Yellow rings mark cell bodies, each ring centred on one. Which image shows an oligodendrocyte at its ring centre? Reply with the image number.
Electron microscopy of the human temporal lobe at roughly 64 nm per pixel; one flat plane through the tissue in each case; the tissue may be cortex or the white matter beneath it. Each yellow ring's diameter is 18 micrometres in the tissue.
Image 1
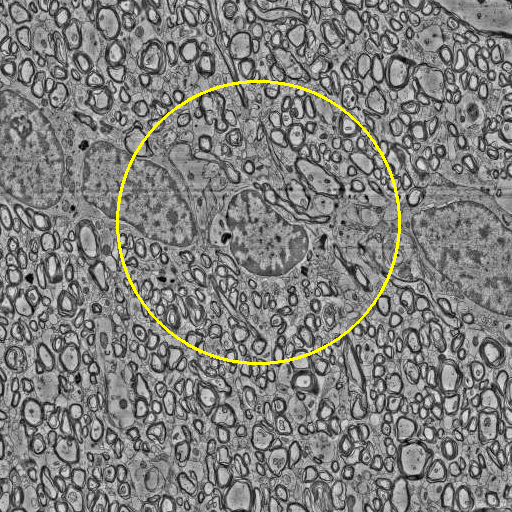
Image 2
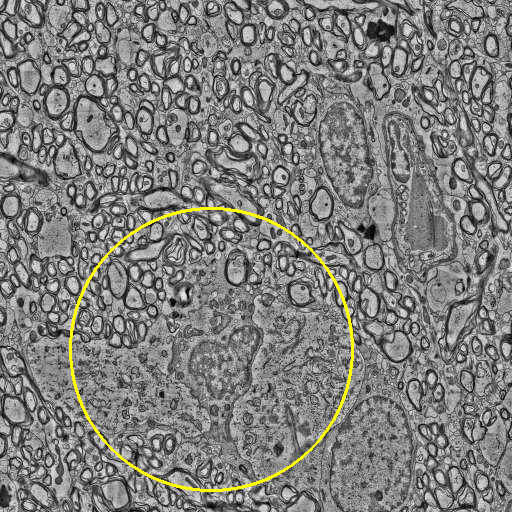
2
